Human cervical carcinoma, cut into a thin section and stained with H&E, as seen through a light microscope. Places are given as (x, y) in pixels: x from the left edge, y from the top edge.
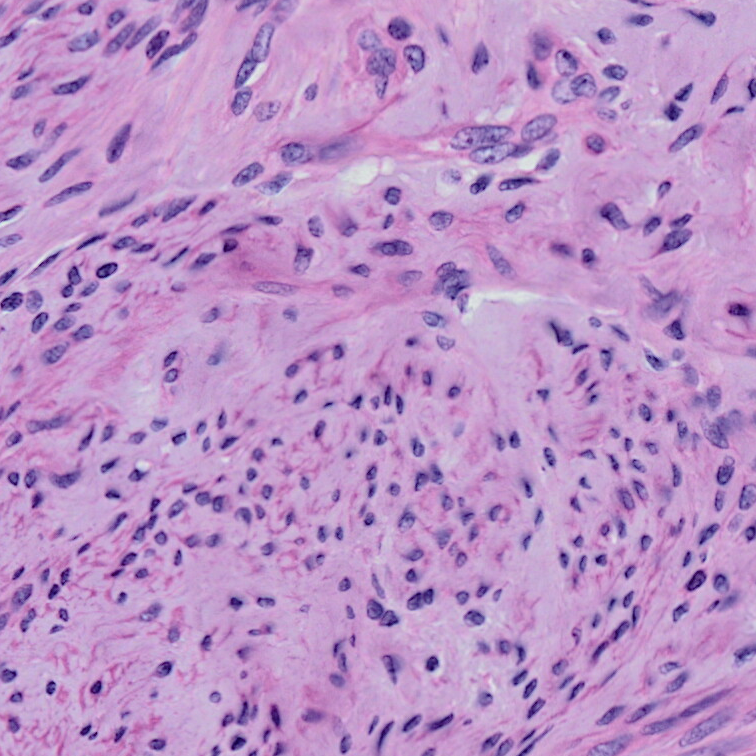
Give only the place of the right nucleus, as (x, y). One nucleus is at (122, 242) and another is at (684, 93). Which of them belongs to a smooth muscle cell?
(122, 242)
